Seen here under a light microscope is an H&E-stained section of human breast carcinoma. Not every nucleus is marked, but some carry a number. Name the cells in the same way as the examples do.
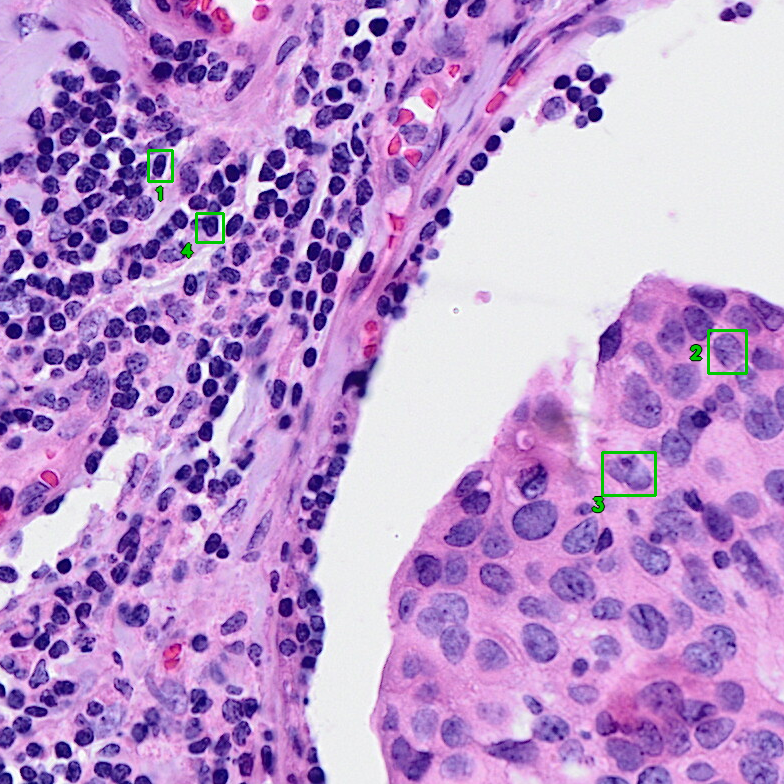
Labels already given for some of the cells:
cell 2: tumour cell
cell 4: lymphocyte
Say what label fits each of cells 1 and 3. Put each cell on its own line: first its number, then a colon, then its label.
1: lymphocyte
3: tumour cell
